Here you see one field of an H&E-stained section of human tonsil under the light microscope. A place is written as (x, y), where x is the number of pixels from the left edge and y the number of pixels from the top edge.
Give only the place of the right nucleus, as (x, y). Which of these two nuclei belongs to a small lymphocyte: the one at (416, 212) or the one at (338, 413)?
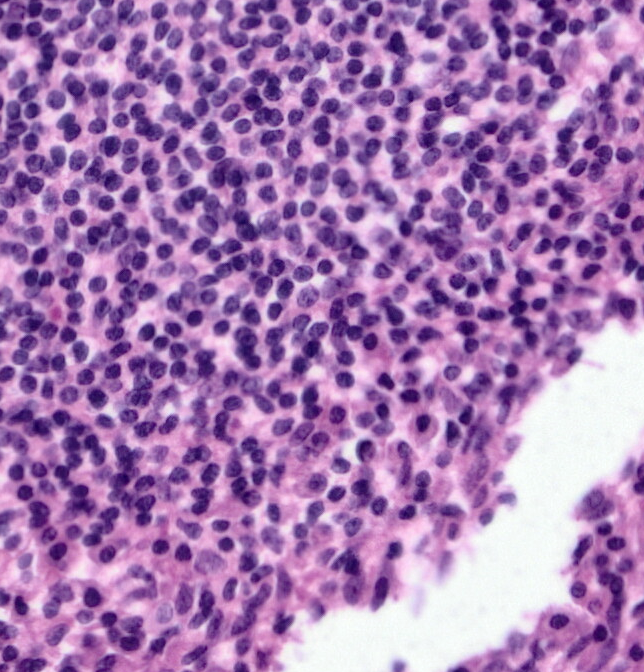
(416, 212)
